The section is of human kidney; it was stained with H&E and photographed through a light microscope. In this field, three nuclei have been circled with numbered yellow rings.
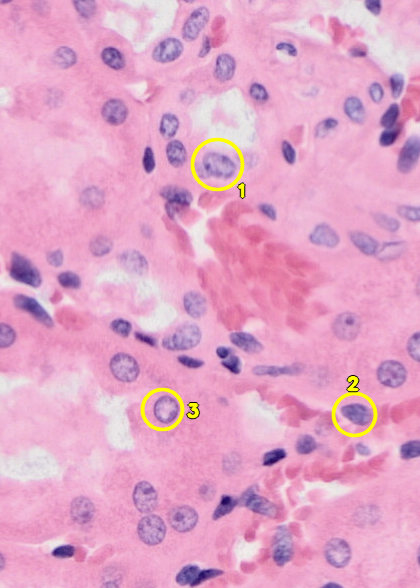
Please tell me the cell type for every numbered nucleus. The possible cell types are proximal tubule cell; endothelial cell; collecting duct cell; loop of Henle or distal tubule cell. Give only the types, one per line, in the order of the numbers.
collecting duct cell
endothelial cell
proximal tubule cell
